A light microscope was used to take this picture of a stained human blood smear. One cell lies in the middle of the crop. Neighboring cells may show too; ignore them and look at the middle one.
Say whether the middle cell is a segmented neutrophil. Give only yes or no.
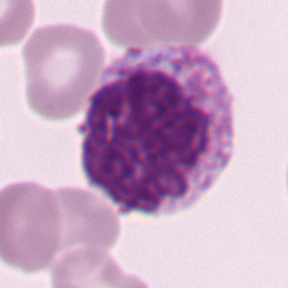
no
